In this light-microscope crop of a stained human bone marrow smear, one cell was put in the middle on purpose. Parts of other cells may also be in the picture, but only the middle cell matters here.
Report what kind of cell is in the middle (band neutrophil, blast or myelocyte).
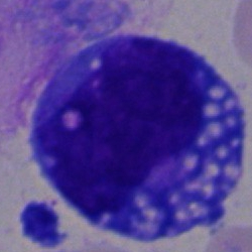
blast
